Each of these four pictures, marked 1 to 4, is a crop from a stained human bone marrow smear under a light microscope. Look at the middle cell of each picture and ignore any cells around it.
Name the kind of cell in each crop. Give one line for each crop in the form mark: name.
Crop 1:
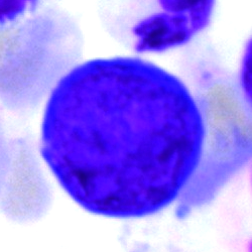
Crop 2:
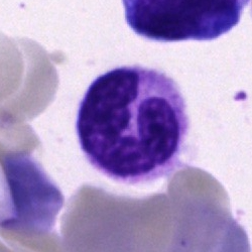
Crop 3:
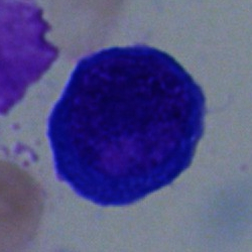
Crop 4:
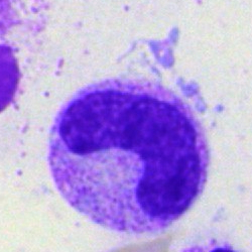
1: proerythroblast
2: band neutrophil
3: proerythroblast
4: band neutrophil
